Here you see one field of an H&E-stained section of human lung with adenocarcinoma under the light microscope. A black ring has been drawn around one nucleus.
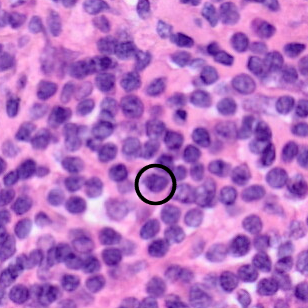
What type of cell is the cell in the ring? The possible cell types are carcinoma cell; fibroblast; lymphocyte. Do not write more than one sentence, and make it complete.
Typologically, the cell in the ring is a lymphocyte in this section.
